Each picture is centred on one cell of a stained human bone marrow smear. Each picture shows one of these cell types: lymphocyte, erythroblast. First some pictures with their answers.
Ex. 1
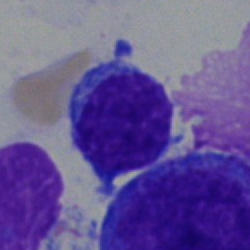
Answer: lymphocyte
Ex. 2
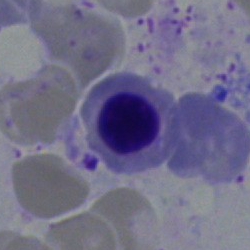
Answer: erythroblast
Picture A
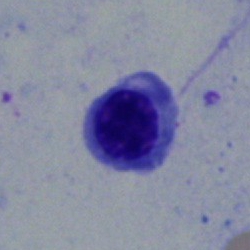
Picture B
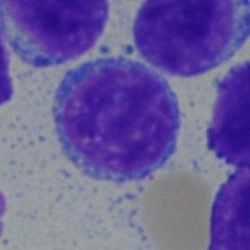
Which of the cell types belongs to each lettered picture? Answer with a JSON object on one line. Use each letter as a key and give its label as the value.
{"A": "erythroblast", "B": "lymphocyte"}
